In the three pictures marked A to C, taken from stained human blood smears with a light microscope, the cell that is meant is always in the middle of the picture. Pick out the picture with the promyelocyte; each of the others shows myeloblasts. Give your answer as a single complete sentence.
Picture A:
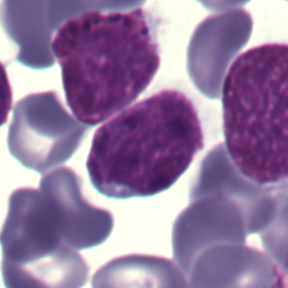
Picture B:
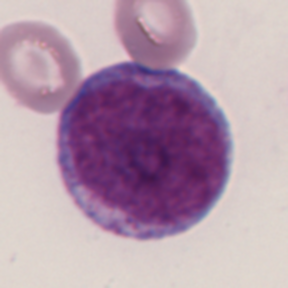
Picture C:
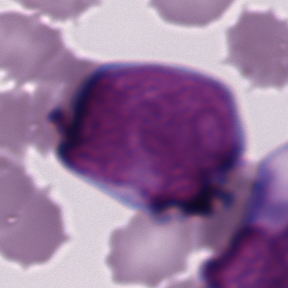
Picture B shows the promyelocyte.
